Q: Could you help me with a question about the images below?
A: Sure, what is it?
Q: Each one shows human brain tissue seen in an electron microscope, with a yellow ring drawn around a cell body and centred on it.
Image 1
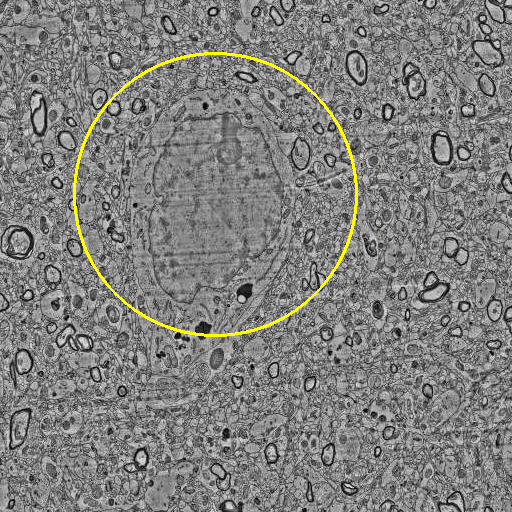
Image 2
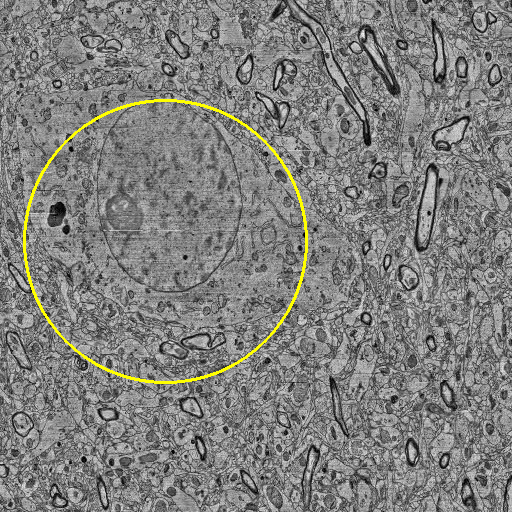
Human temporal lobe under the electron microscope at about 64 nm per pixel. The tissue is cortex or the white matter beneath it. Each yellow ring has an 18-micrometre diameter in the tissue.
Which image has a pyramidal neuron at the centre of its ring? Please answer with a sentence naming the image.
Image 2 has it at the centre of its ring.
